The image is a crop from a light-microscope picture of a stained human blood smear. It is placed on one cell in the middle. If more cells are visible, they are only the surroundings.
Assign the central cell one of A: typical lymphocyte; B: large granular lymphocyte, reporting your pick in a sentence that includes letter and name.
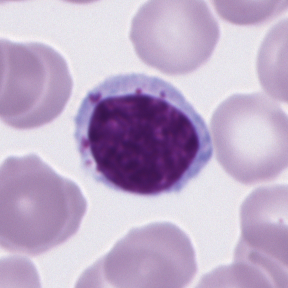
The cell at the centre, correctly named in option B, is a large granular lymphocyte.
